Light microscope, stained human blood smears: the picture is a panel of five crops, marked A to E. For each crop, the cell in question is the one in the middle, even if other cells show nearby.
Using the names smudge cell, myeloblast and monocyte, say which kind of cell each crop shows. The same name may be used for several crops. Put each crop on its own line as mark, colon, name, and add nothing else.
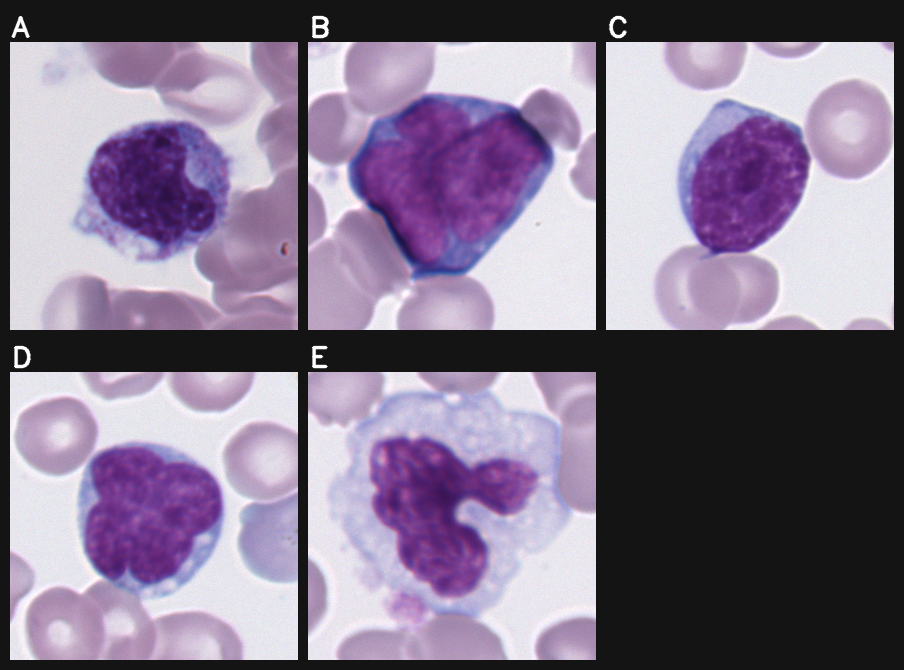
A: monocyte
B: myeloblast
C: myeloblast
D: myeloblast
E: monocyte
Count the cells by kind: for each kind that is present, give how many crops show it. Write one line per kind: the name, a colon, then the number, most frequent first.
myeloblast: 3
monocyte: 2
